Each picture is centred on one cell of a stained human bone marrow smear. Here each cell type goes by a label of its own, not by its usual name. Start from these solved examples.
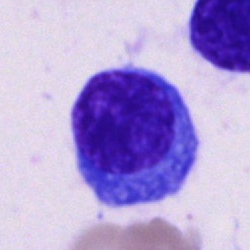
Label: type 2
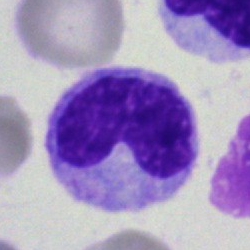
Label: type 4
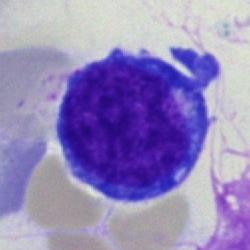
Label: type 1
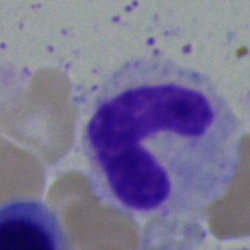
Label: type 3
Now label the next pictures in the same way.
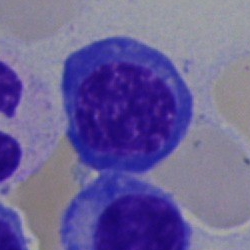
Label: type 2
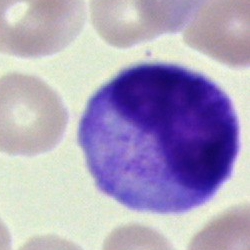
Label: type 4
